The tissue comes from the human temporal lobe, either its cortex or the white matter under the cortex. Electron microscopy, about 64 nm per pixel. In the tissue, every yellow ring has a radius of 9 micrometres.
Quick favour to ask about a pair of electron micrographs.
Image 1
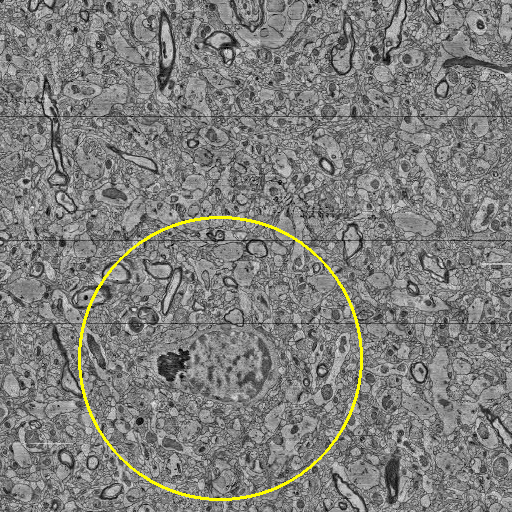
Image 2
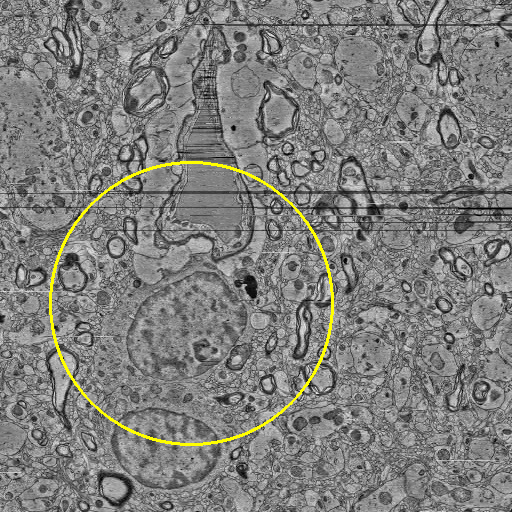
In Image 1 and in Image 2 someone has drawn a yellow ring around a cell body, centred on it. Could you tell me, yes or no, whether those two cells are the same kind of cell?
yes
